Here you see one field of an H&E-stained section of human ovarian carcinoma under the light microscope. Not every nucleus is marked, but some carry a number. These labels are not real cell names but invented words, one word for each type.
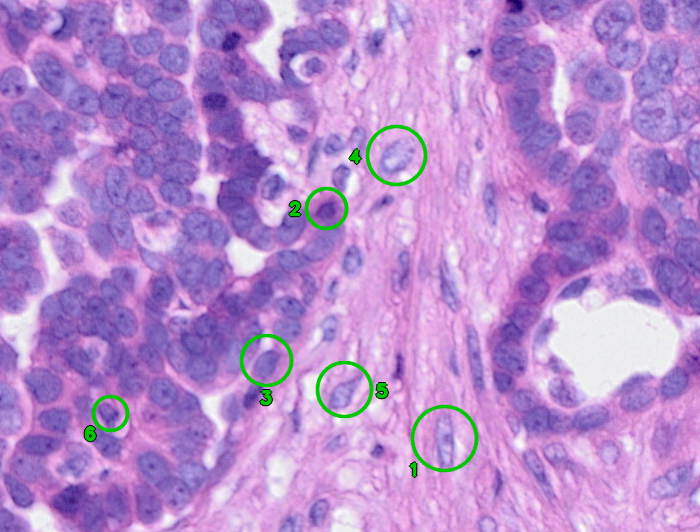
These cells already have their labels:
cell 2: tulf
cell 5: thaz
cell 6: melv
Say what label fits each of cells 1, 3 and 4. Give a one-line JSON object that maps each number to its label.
{"1": "thaz", "3": "tulf", "4": "thaz"}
